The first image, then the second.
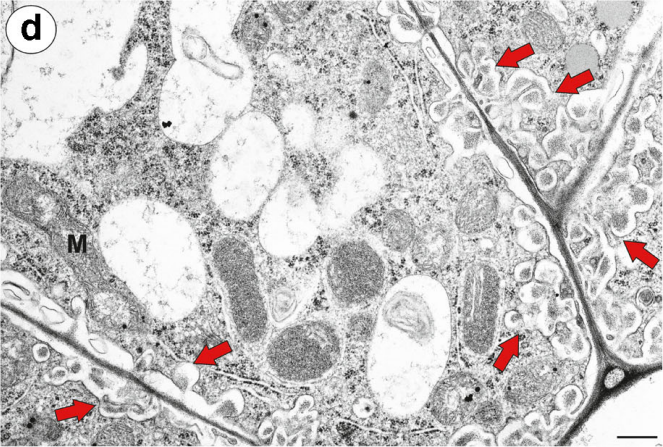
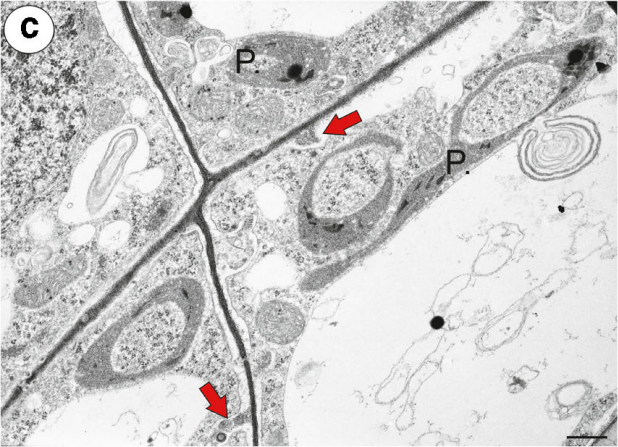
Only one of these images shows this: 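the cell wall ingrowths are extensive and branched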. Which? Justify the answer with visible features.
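First image: many branched, labyrinth-like projections line the cell walls. Second image: only a few small protrusions occur along the cell walls. That points to this answer: the first image.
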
